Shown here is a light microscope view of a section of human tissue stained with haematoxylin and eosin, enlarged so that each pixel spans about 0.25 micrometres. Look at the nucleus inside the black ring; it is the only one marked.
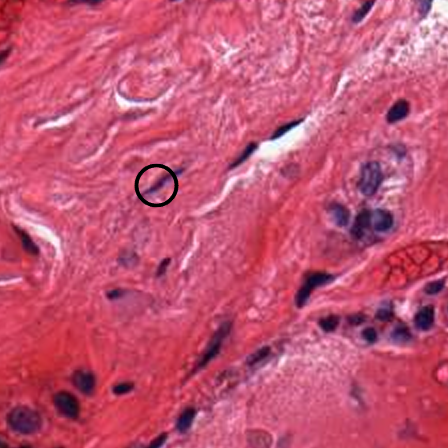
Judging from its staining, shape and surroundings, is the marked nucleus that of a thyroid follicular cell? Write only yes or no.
no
